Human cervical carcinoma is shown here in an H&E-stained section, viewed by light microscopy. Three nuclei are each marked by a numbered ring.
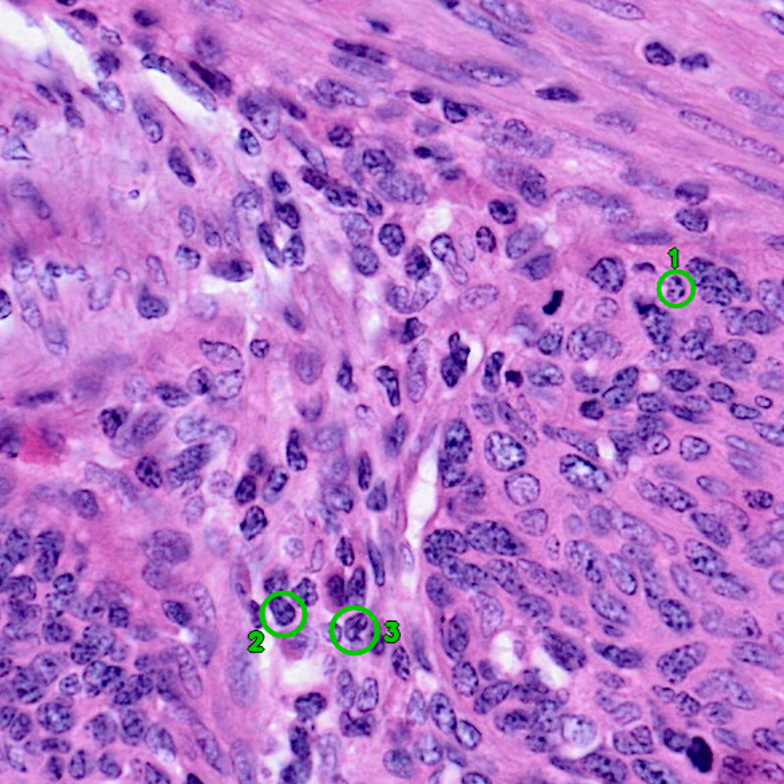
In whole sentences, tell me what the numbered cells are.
Cell 1 is a squamous carcinoma cell, cell 2 is a lymphocyte and cell 3 is a lymphocyte.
